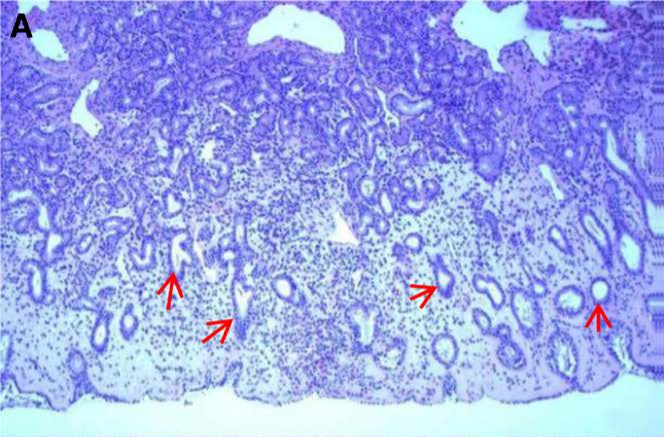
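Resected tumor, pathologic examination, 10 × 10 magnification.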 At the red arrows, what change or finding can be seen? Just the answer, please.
glandular hyperplasia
